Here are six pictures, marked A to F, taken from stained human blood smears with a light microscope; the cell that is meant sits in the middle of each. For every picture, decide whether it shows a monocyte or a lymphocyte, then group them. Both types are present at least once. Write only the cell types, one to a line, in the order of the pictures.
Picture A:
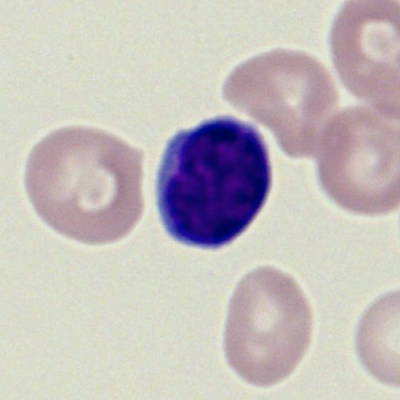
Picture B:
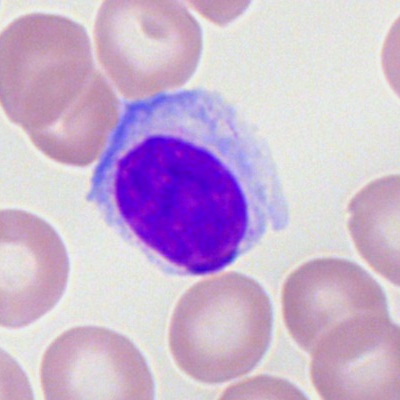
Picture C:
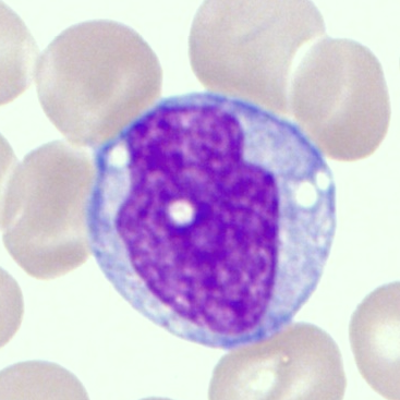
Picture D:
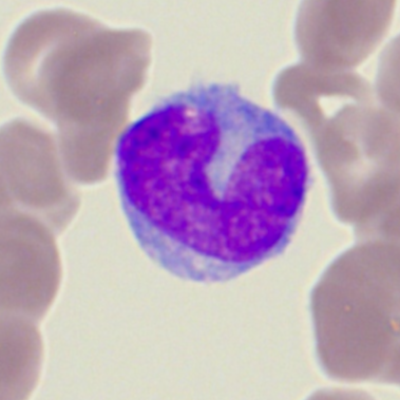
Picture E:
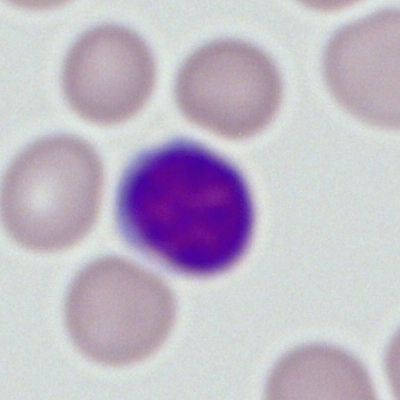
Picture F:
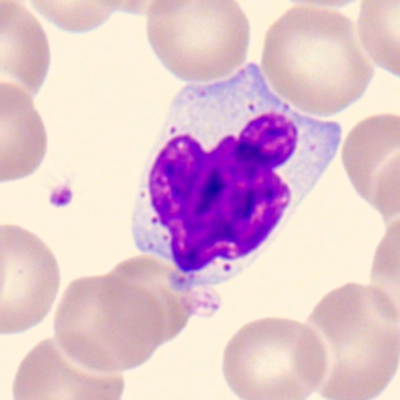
lymphocyte
lymphocyte
monocyte
monocyte
lymphocyte
lymphocyte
